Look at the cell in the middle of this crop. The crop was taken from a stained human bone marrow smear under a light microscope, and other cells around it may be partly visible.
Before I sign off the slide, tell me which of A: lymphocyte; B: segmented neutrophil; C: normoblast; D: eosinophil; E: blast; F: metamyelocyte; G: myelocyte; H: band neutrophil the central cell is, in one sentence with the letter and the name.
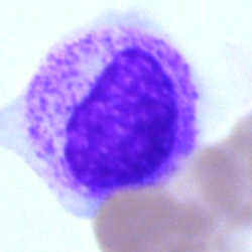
Identified correctly by option G, the cell in the middle is a myelocyte.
